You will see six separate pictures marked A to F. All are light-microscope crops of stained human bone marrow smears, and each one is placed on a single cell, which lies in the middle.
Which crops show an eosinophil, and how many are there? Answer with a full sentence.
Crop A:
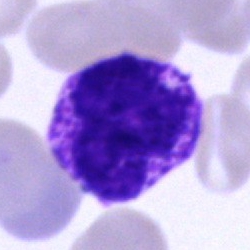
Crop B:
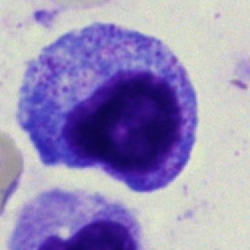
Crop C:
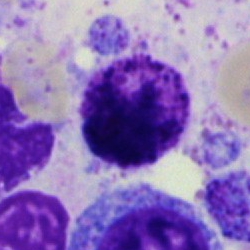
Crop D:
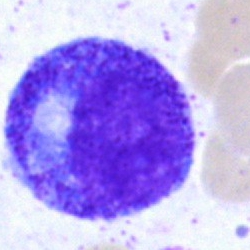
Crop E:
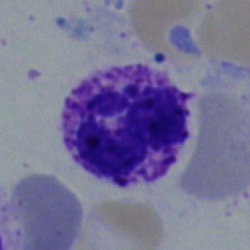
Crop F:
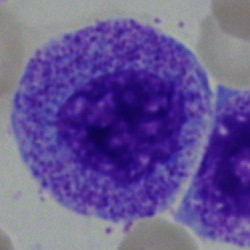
Since not one of the crops shows eosinophils, the count is zero.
